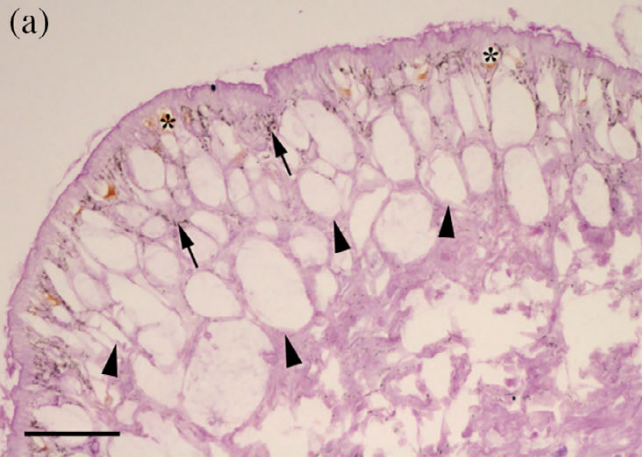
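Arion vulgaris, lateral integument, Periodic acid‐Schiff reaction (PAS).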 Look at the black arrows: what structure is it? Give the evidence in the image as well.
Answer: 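The arrows point to fine dark granules scattered just beneath the surface epithelium. Some yellow-brown deposits lie in the same subepithelial zone. So: pigmentation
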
